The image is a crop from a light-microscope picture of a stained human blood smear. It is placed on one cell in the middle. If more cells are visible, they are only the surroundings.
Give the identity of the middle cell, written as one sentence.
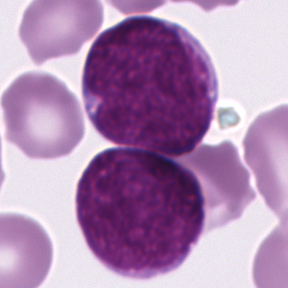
The middle of this crop is occupied by a myeloblast.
